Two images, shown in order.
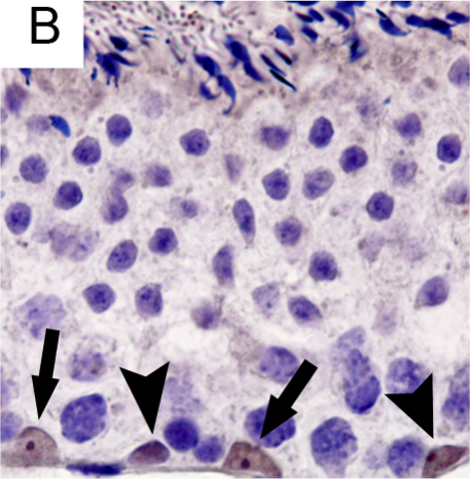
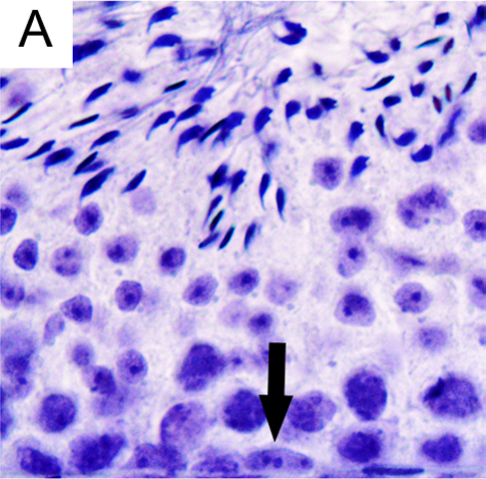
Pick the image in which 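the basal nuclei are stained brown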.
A: the first image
